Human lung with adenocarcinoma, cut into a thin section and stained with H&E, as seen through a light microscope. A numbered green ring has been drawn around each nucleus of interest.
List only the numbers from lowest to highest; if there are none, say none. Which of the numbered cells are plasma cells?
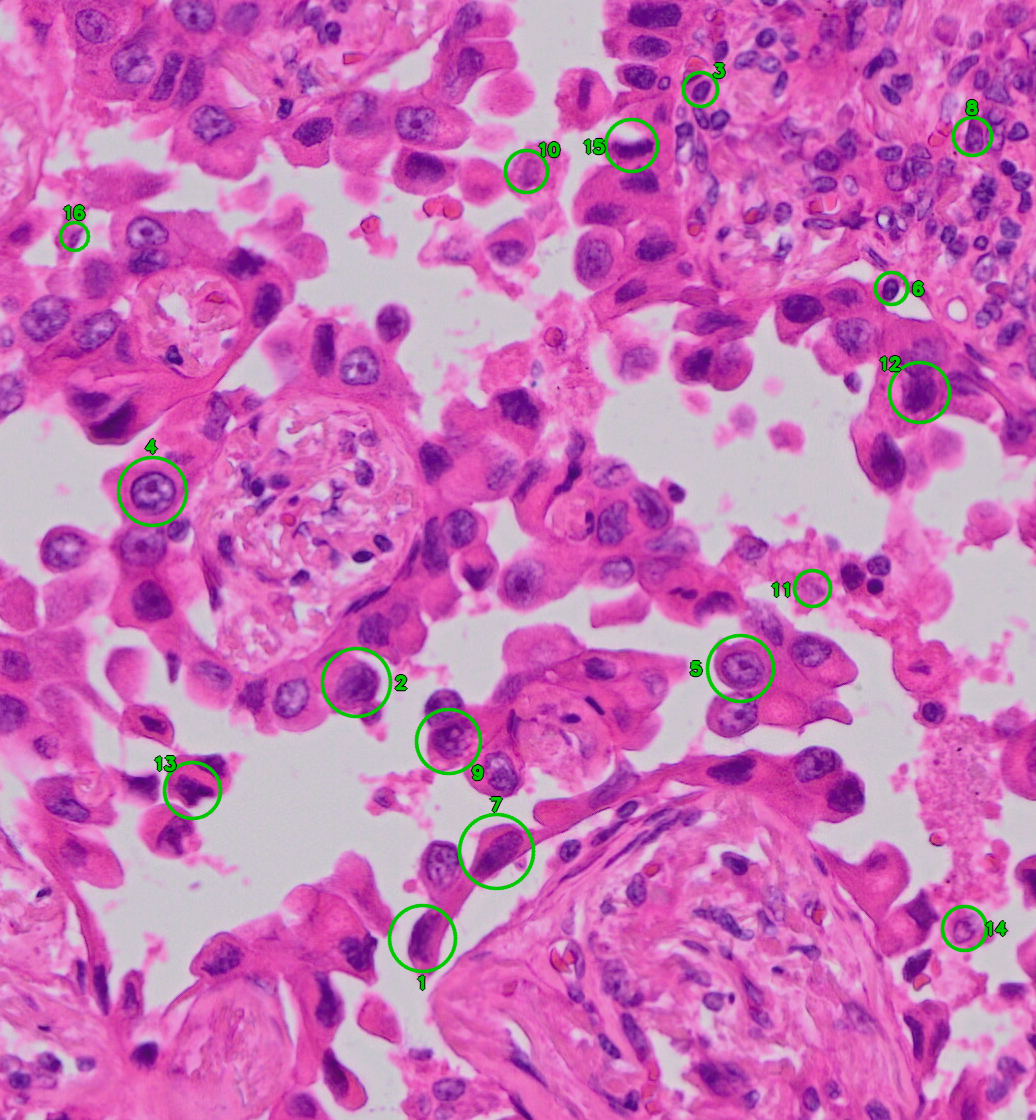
8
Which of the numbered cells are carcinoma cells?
1, 2, 4, 5, 7, 9, 12, 13, 15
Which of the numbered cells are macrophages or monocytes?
10, 11, 14, 16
